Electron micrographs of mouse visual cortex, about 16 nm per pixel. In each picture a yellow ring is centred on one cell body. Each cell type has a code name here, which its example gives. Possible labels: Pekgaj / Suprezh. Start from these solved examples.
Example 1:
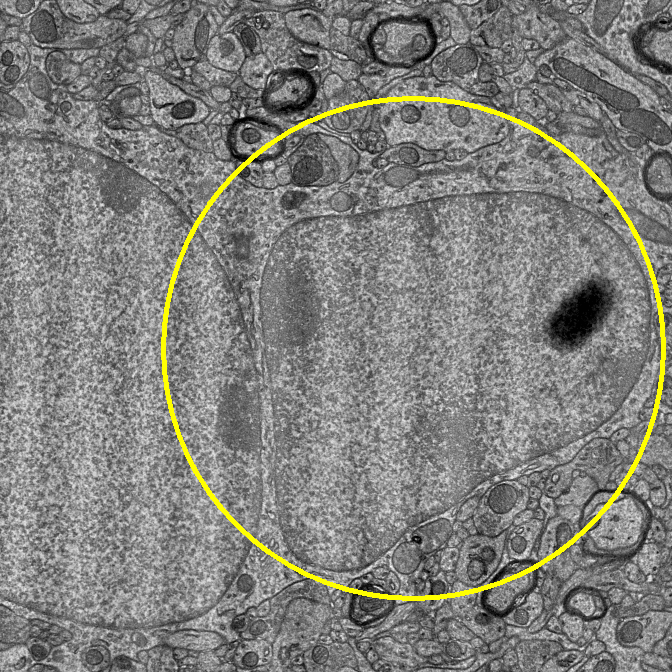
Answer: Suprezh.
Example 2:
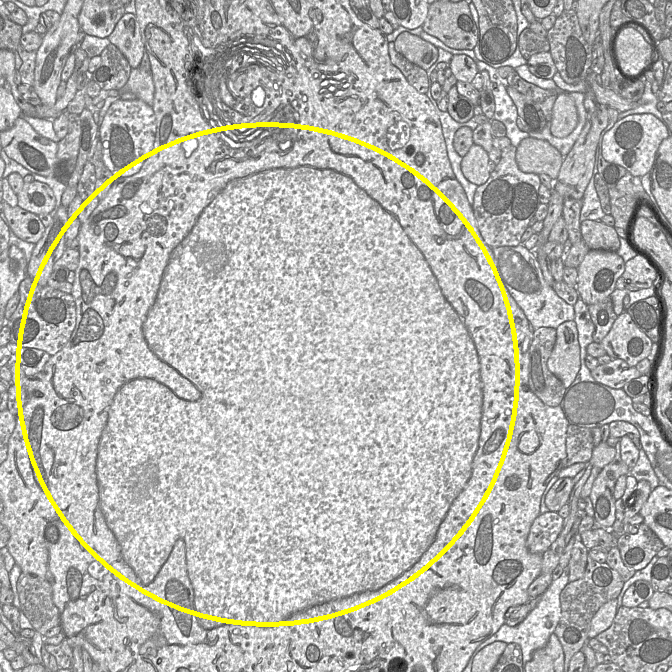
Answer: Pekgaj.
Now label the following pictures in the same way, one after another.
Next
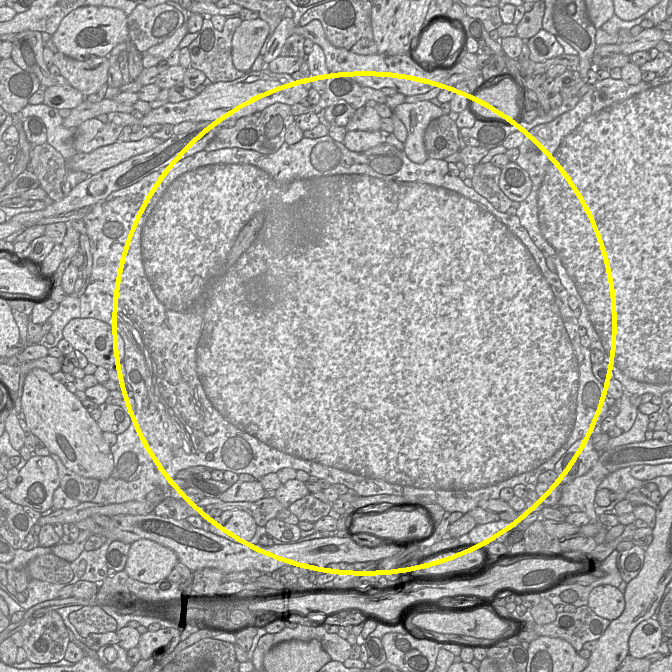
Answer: Suprezh.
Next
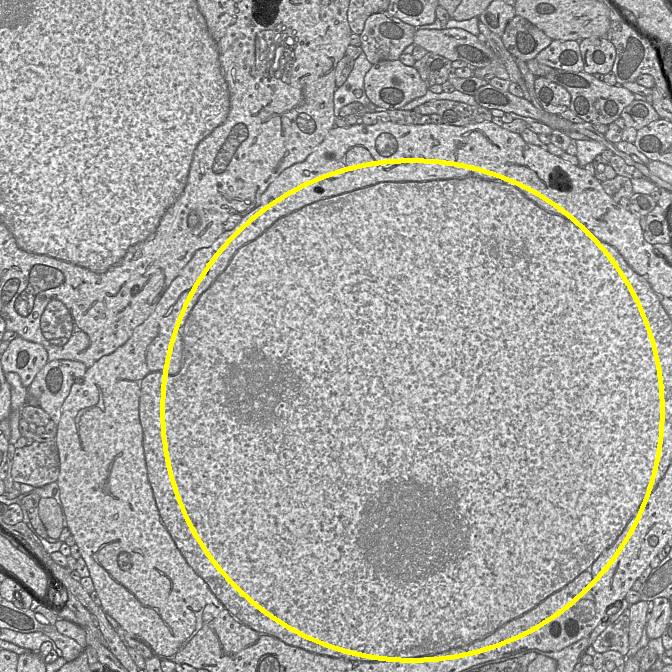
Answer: Pekgaj.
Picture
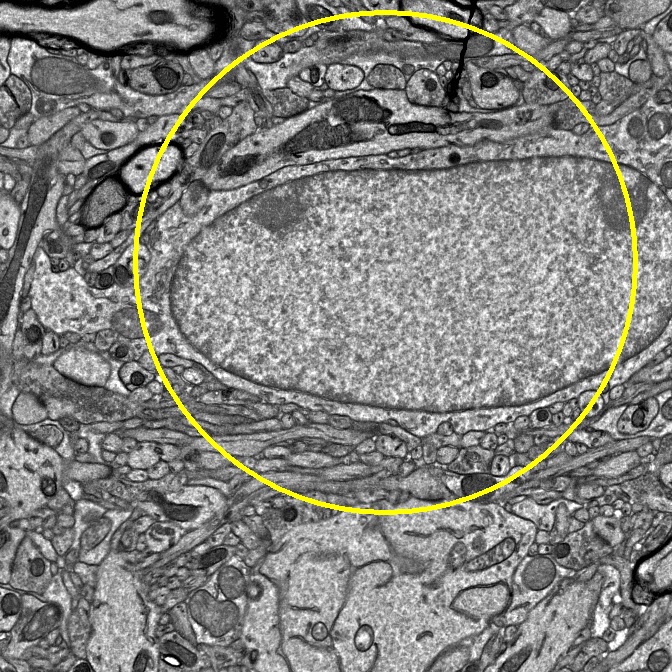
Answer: Suprezh.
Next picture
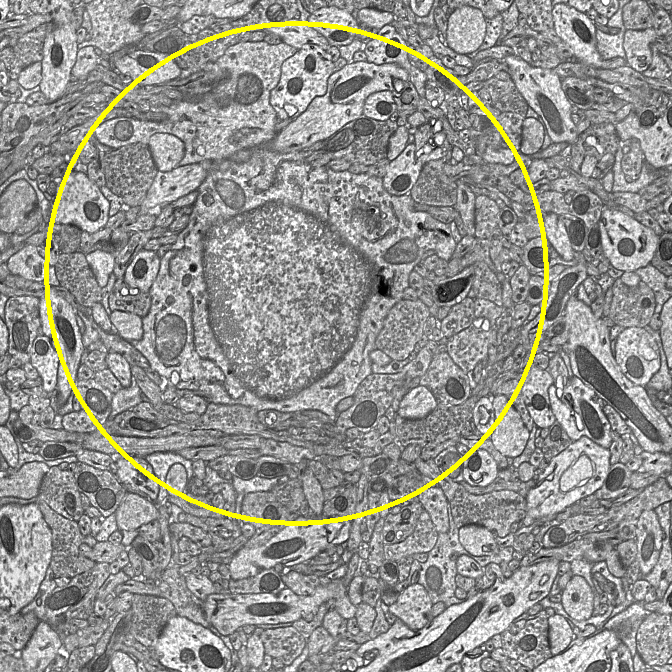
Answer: Suprezh.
